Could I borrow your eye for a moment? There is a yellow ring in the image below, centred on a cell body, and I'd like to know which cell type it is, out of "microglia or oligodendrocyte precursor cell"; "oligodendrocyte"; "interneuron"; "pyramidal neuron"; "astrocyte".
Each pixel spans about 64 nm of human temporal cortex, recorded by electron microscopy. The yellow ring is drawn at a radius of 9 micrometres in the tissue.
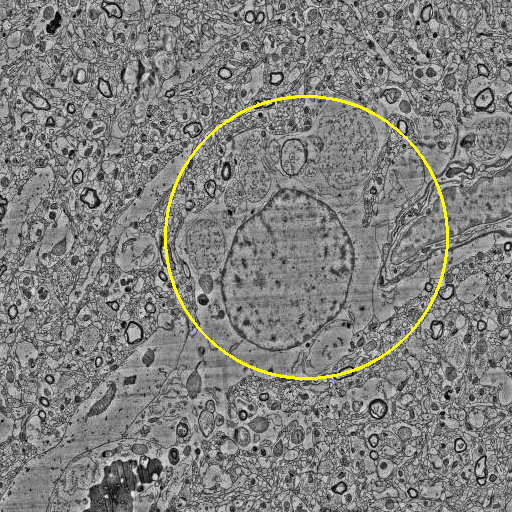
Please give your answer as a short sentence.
The cell body at the centre is that of an astrocyte.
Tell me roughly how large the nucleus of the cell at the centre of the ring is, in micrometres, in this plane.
In this plane, about 10 micrometres in length and 8 in width.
